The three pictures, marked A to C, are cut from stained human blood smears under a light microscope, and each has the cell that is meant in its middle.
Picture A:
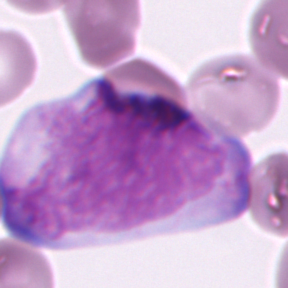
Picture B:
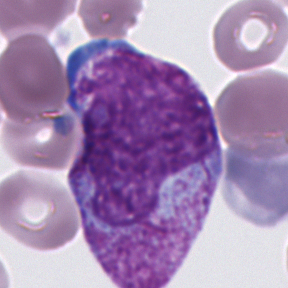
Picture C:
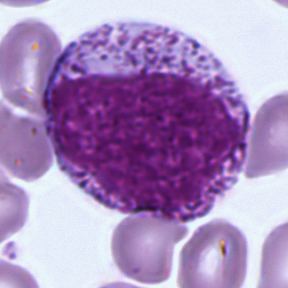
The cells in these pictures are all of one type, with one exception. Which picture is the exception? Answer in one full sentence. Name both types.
Unlike the rest, which show atypical promyelocytes, picture C shows a myelocyte.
